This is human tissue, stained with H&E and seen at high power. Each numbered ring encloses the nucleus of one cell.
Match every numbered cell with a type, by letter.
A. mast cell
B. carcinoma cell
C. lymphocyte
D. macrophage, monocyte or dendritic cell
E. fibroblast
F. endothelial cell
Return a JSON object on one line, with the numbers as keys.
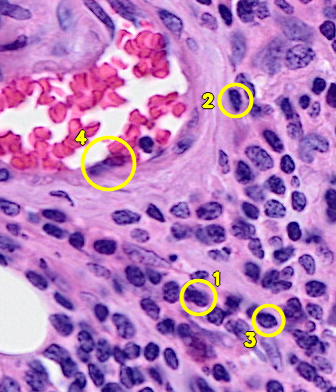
{"1": "C", "2": "C", "3": "C", "4": "F"}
